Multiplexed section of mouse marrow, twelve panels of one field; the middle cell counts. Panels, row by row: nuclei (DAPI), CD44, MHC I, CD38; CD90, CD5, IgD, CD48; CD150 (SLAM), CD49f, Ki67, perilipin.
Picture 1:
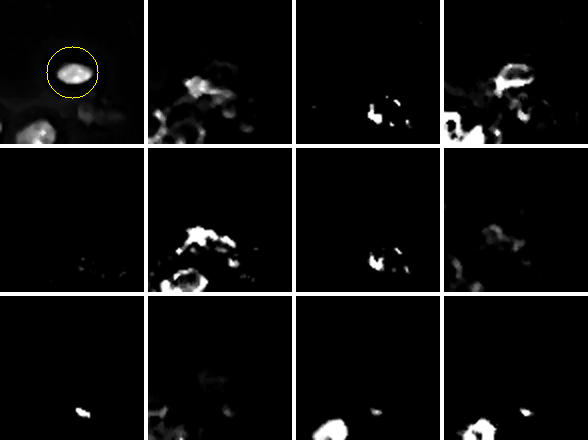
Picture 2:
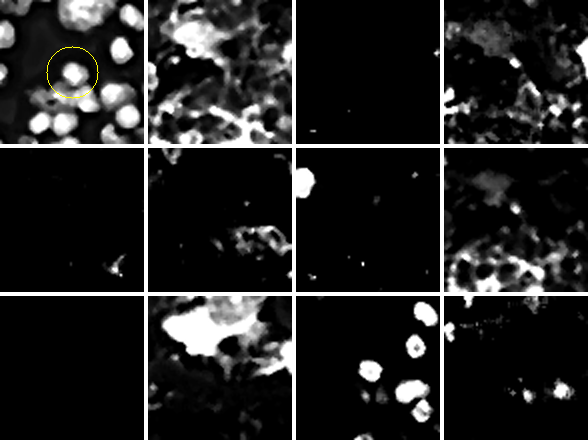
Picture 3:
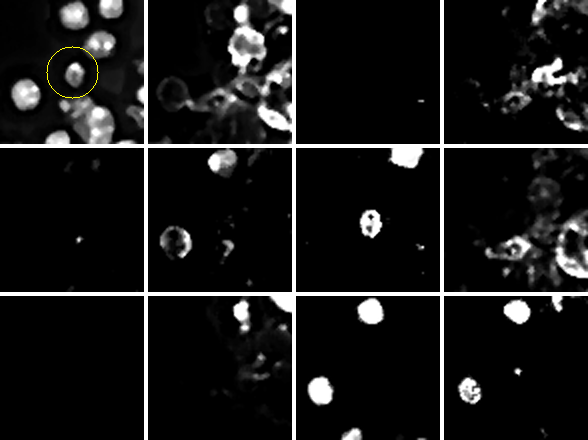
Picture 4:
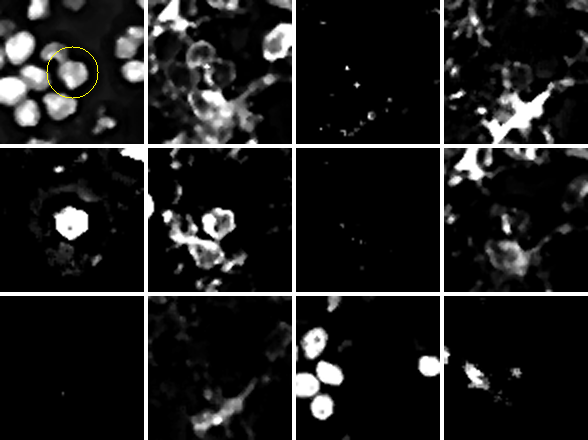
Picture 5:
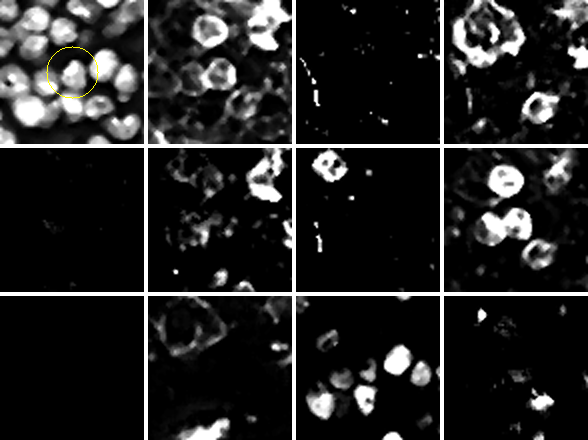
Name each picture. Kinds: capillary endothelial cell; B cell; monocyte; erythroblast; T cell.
(1) capillary endothelial cell
(2) erythroblast
(3) B cell
(4) T cell
(5) monocyte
